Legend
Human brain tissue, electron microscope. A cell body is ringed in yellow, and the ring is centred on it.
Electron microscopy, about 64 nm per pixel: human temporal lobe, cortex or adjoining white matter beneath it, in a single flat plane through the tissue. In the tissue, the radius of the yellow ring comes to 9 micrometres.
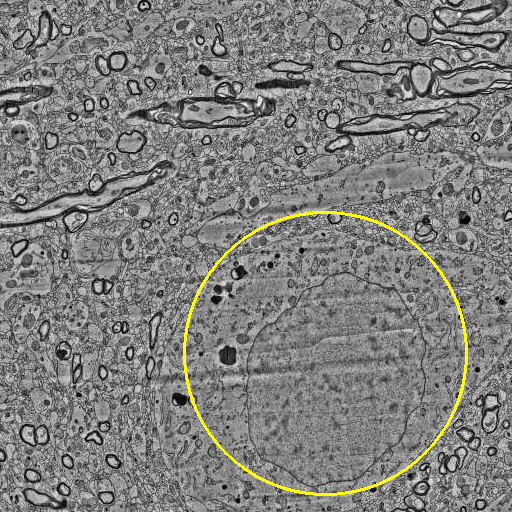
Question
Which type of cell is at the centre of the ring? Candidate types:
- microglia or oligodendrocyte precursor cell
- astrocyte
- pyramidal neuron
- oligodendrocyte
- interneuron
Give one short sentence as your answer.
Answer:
The yellow ring is centred here on a pyramidal neuron.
